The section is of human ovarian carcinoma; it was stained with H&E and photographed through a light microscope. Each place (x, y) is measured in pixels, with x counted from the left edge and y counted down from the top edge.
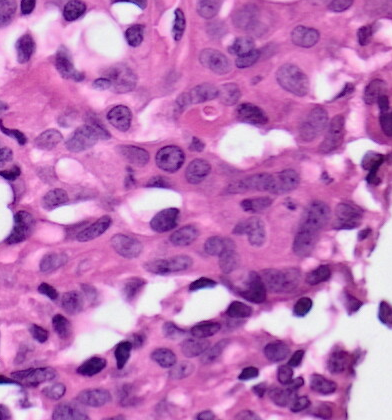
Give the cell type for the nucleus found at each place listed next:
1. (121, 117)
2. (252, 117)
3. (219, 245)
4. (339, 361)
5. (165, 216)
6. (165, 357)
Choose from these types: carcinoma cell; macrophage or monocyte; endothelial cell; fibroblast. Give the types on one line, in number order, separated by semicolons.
macrophage or monocyte; carcinoma cell; carcinoma cell; macrophage or monocyte; carcinoma cell; macrophage or monocyte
